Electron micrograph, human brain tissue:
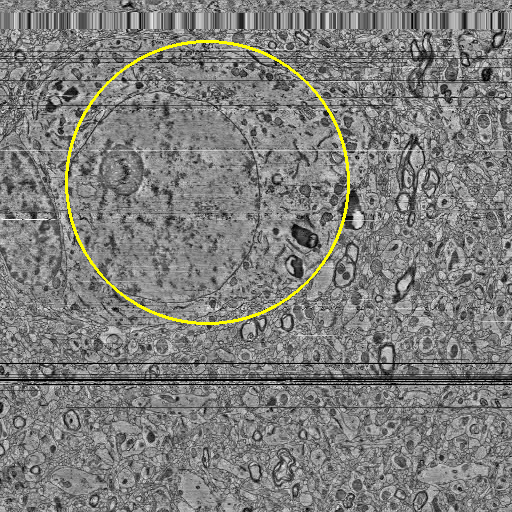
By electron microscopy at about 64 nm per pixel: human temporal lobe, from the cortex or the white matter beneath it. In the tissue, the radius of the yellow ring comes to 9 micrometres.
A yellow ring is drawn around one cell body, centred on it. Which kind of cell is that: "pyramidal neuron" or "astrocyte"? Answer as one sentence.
It is a pyramidal neuron at the centre of the ring.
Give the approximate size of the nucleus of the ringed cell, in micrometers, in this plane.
Roughly 15 micrometres by 12 micrometres, in this plane.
